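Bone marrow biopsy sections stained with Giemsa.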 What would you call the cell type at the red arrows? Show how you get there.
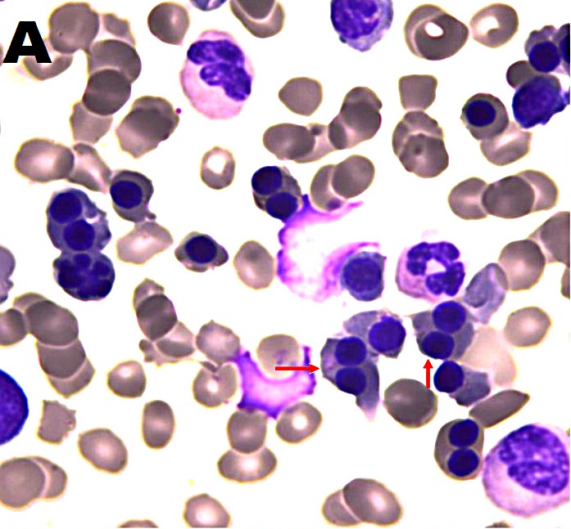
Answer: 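Binucleated erythroblasts. Each marked cell holds two round, dark purple nuclei of similar size. The nuclei have dense, compact chromatin. The cytoplasm around them is greyish-blue.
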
